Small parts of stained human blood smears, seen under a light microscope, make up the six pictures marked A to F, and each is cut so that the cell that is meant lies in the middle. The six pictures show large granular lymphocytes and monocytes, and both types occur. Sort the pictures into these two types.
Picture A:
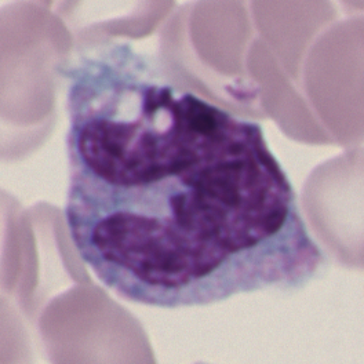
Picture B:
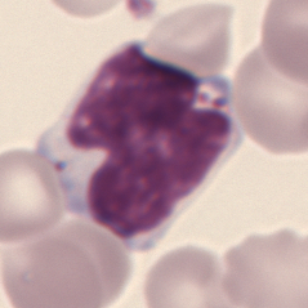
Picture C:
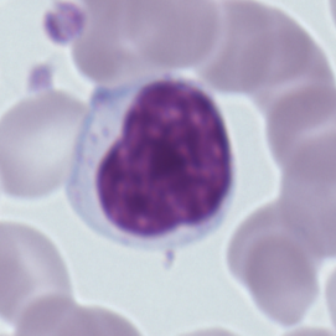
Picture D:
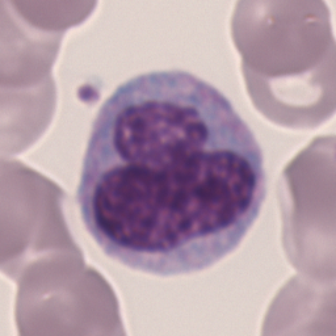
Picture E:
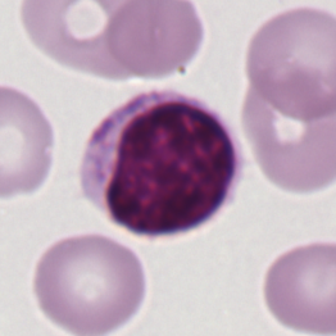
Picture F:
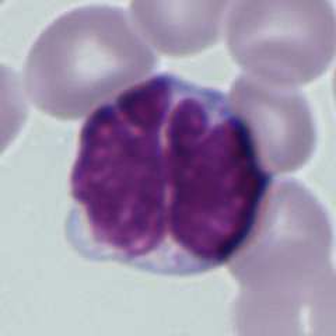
A: monocyte
B: large granular lymphocyte
C: large granular lymphocyte
D: monocyte
E: large granular lymphocyte
F: large granular lymphocyte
